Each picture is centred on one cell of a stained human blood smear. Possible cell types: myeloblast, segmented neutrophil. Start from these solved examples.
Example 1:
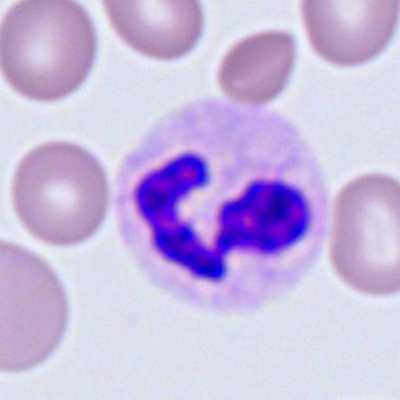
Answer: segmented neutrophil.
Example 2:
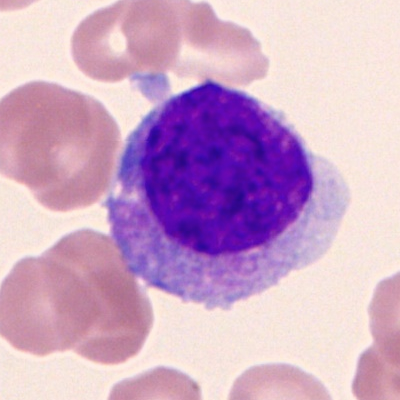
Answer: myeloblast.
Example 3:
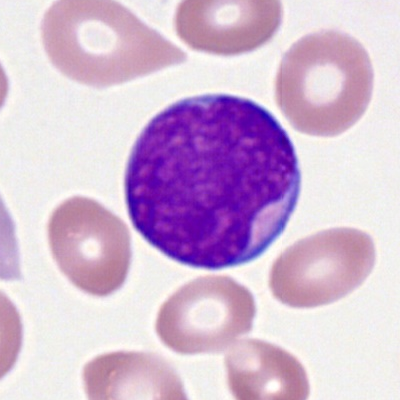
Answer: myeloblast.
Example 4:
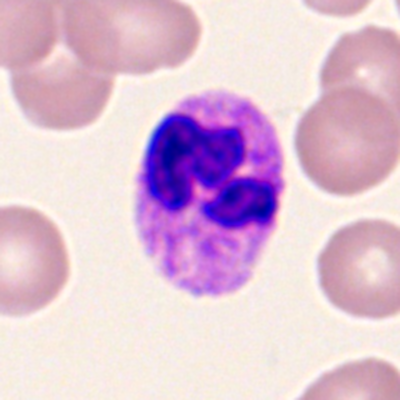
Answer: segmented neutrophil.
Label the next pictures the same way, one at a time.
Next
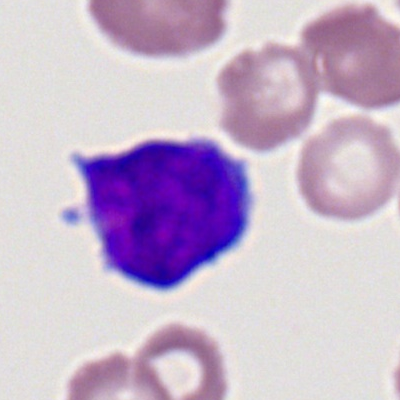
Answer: myeloblast.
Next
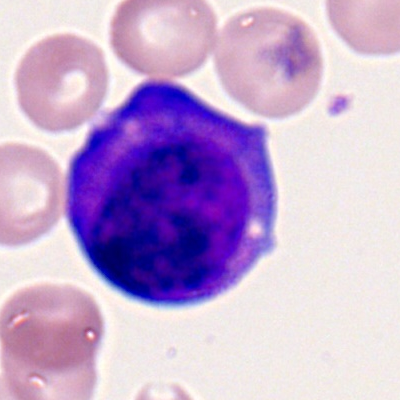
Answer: myeloblast.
